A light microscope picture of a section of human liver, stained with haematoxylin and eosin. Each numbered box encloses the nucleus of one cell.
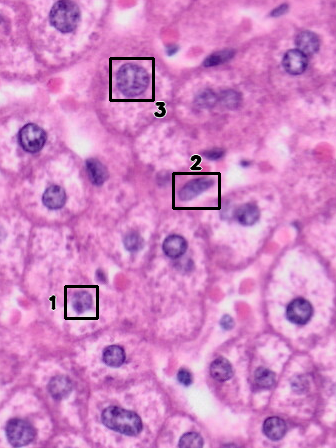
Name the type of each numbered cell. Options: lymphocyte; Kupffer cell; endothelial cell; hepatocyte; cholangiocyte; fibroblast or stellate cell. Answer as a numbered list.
1. hepatocyte
2. Kupffer cell
3. hepatocyte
